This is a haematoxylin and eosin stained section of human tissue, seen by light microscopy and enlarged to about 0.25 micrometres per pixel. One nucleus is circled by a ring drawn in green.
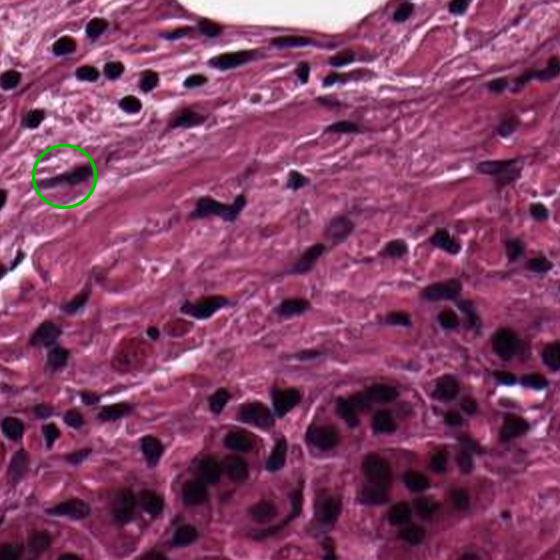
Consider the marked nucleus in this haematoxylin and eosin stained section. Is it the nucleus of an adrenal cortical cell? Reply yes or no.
no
